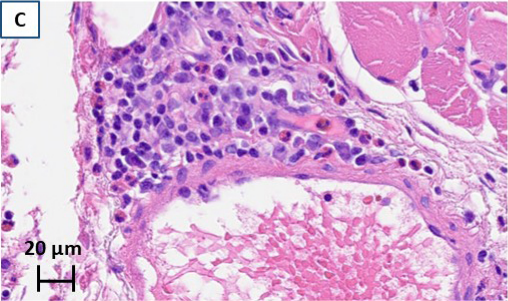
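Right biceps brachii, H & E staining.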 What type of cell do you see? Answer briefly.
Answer: eosinophils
